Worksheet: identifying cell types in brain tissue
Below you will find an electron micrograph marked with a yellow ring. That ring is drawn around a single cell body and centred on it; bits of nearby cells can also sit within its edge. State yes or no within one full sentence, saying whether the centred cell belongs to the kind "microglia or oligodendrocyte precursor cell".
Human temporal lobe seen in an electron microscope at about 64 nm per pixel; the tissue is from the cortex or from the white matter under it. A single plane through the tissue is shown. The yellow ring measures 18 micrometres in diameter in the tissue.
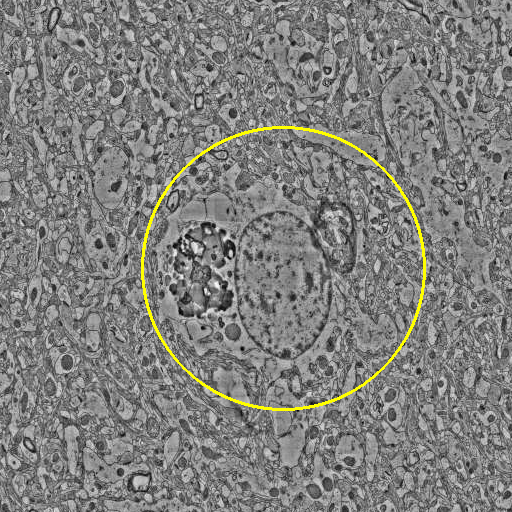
No, the cell sitting at the centre of the yellow ring in this picture is of another kind.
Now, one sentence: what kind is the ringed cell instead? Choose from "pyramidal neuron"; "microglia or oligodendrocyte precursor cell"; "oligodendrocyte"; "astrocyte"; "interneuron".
The cell at the middle of the ring is an astrocyte.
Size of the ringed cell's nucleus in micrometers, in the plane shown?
Roughly 9 by 6 micrometers, clearly longer than it is wide in this plane.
